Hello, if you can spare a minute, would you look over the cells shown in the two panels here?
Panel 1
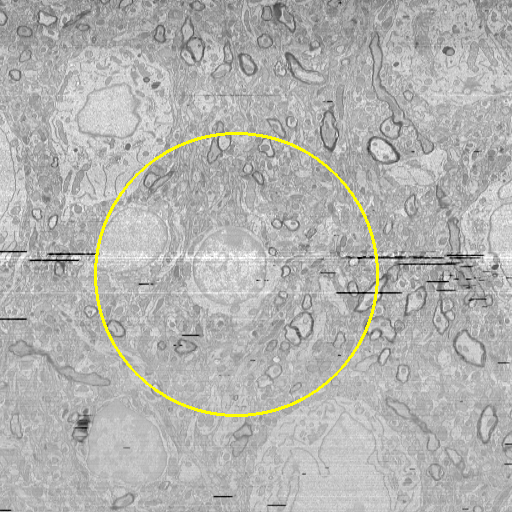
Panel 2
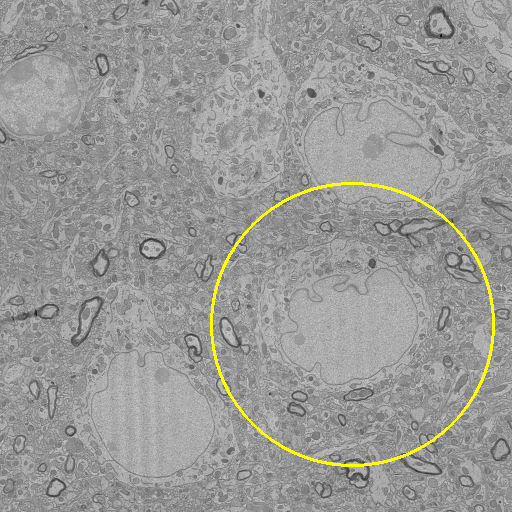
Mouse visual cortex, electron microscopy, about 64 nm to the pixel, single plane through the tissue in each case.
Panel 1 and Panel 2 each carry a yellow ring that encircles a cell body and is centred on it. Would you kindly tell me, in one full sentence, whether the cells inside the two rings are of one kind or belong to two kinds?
The cells at the centres of the rings in Panel 1 and Panel 2 belong to two kinds.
